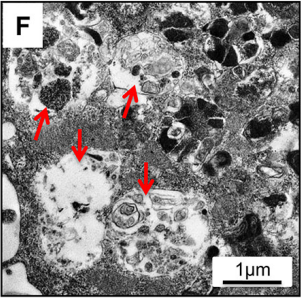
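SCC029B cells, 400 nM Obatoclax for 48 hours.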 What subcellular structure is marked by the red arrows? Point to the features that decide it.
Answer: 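Arrows point to membrane-bound vesicles in the cytoplasm. The vesicles contain heterogeneous material, including membrane whorls and dense debris. On this evidence: autophagic vesicles.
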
